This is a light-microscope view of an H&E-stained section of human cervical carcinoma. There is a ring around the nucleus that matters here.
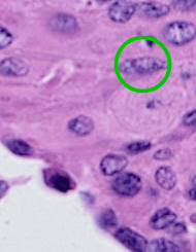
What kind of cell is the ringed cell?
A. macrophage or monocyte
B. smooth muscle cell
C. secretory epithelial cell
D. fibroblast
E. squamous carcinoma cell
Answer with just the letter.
E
